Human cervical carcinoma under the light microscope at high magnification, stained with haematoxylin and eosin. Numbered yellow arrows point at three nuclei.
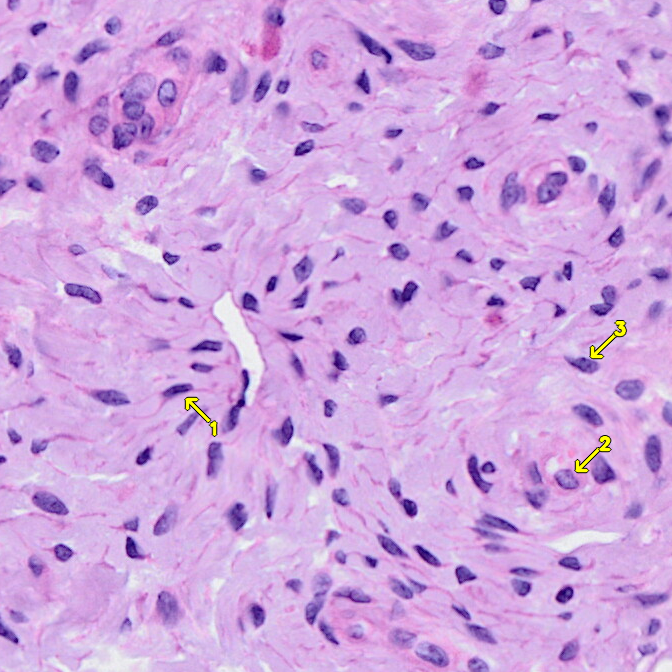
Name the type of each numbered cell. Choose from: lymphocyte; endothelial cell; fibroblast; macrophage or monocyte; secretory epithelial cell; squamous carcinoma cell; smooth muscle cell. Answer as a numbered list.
1. fibroblast
2. endothelial cell
3. fibroblast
